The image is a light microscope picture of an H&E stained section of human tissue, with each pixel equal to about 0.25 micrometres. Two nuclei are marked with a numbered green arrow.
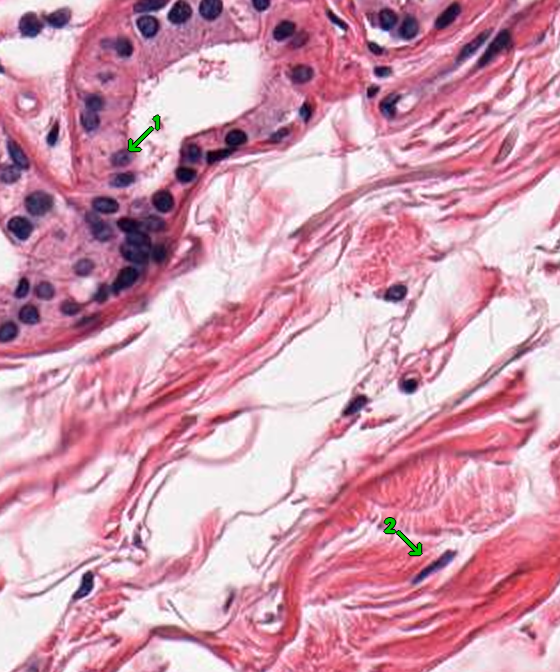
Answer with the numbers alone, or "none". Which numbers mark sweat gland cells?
1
